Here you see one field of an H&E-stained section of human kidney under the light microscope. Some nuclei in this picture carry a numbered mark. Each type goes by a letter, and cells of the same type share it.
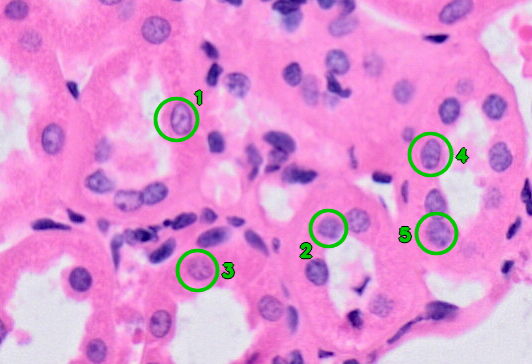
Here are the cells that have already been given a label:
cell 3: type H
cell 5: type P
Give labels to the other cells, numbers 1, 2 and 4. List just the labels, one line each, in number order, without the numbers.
type H
type P
type P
